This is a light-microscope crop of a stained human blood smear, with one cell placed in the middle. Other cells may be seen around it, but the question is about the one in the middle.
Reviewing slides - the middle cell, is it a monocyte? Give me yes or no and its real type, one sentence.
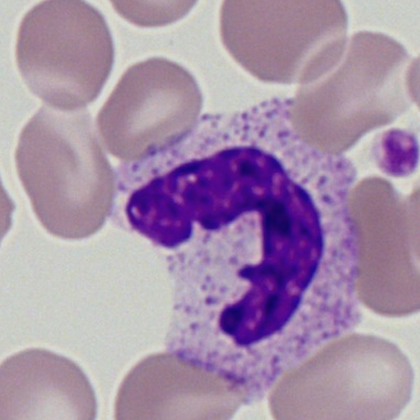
No, the central cell should be identified as a band neutrophil, not as a monocyte.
